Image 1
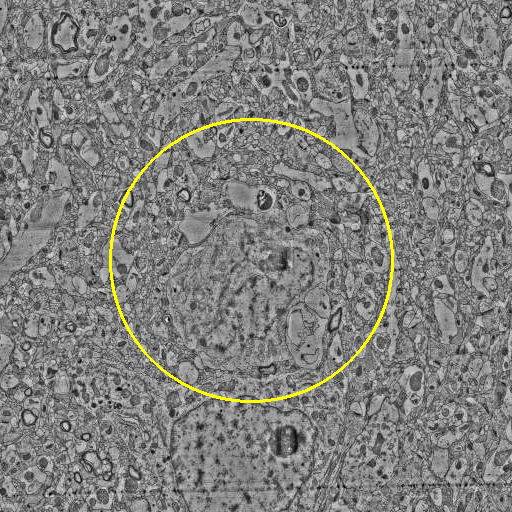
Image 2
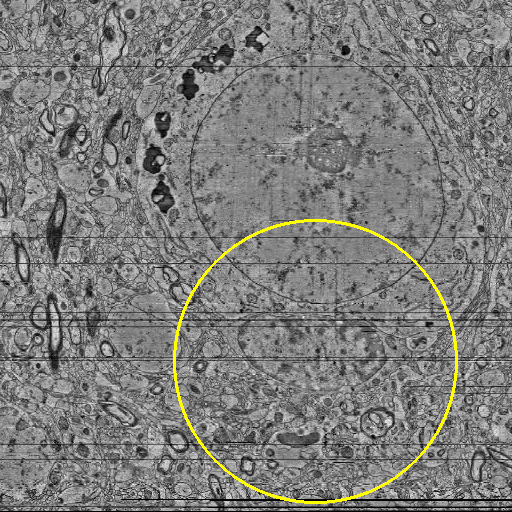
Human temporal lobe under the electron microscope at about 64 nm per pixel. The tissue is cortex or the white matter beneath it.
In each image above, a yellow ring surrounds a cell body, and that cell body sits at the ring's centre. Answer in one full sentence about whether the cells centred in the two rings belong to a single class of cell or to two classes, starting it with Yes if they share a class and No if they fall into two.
No, the cells centred in the two yellow rings belong to two classes of cell.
